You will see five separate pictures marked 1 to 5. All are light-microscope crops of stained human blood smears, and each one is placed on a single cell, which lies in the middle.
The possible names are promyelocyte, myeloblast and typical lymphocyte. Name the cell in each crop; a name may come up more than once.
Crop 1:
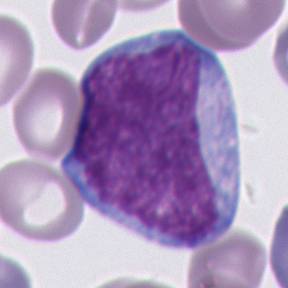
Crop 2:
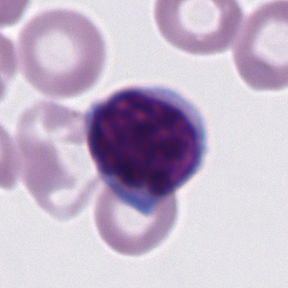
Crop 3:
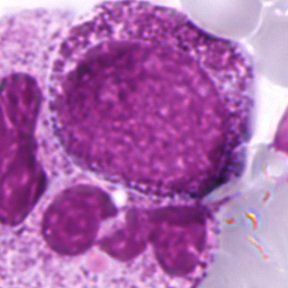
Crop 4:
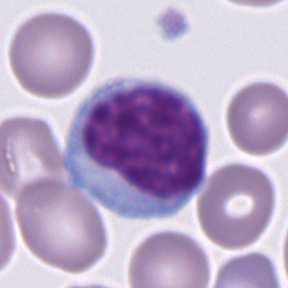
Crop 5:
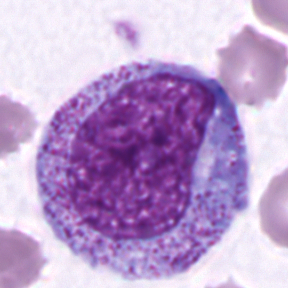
1: promyelocyte
2: typical lymphocyte
3: promyelocyte
4: typical lymphocyte
5: promyelocyte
